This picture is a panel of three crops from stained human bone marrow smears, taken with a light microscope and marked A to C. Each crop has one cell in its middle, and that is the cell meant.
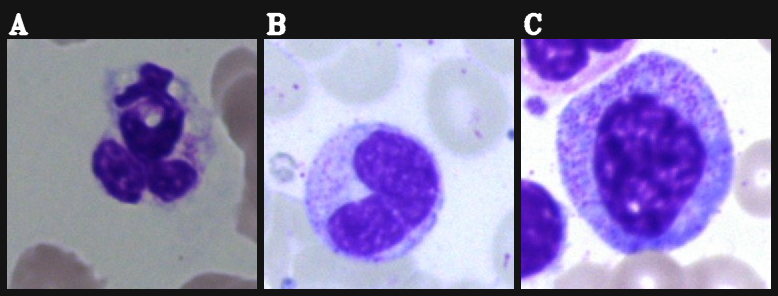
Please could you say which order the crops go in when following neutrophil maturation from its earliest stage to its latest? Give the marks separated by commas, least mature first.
C, B, A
